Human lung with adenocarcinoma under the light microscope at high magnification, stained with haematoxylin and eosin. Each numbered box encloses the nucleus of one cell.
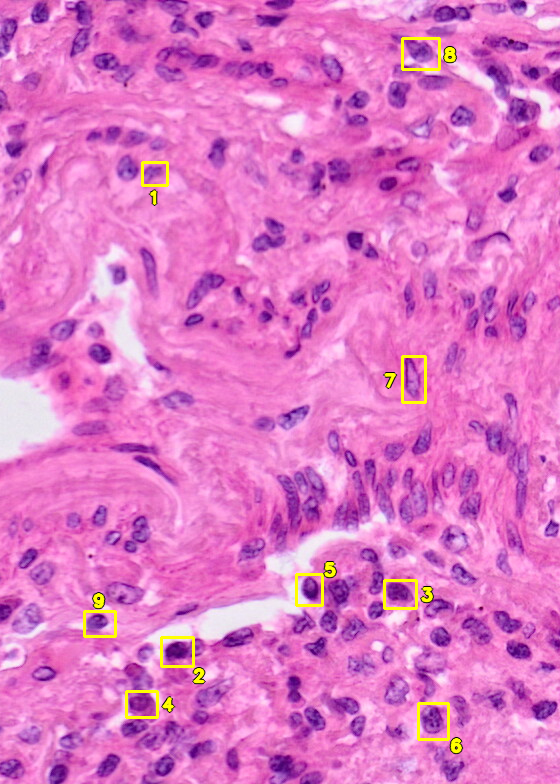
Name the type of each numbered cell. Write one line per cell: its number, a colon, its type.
1: smooth muscle cell or pericyte
2: plasma cell
3: plasma cell
4: plasma cell
5: lymphocyte
6: plasma cell
7: smooth muscle cell or pericyte
8: lymphocyte
9: lymphocyte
